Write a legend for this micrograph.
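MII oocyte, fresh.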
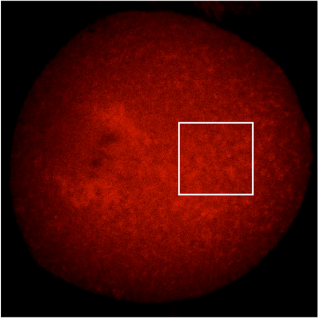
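The cell is nearly spherical and fills most of the frame against a black background. The red signal is fine and granular and spreads fairly evenly through the cytoplasm. Only a few faintly brighter, soft-edged patches are present, and there are no large bright clumps. One side of the cell holds a slightly darker area. The margin of the cell looks a little dimmer than its interior.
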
